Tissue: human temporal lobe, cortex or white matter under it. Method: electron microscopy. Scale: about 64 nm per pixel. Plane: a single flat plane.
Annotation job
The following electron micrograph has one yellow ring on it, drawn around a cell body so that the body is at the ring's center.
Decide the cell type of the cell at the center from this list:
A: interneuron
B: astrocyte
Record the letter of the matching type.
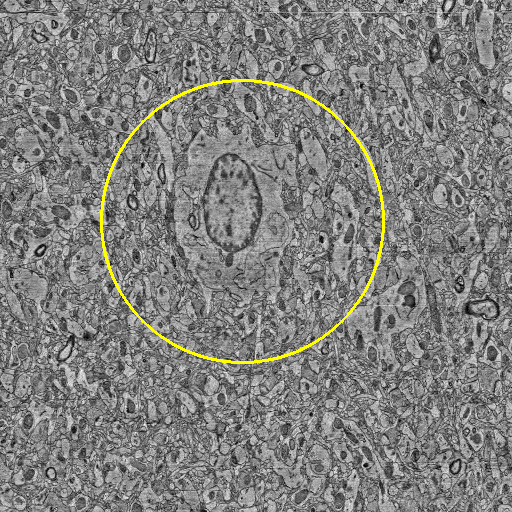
B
